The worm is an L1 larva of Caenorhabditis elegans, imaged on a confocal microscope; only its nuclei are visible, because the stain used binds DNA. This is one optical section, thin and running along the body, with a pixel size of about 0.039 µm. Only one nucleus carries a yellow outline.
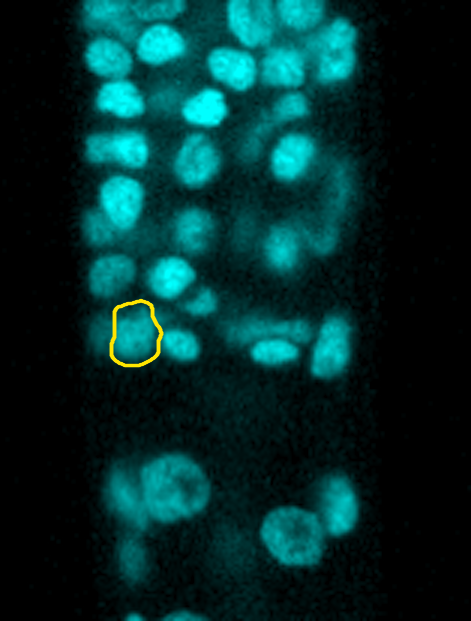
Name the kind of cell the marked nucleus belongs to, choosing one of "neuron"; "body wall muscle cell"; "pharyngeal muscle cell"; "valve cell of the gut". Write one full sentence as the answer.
This nucleus is from a body wall muscle cell.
